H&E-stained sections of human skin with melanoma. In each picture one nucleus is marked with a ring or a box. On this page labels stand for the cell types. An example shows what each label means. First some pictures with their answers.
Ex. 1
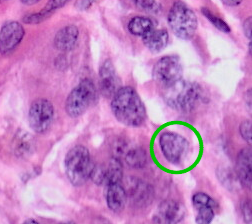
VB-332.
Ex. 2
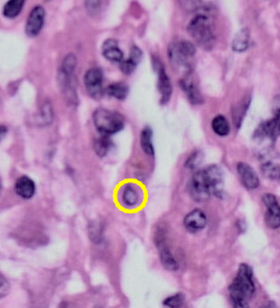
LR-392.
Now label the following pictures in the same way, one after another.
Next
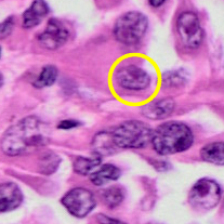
VB-332.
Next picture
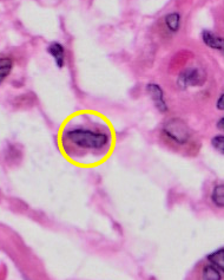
LR-392.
